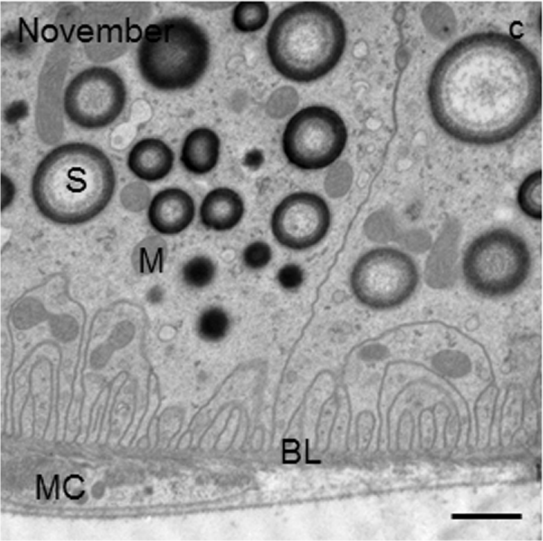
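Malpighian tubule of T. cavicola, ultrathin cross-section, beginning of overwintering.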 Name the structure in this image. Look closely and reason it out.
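The lower border of the cell is thrown into many narrow, parallel membrane folds. A few oval organelles sit between the folds.
Multiple infoldings.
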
